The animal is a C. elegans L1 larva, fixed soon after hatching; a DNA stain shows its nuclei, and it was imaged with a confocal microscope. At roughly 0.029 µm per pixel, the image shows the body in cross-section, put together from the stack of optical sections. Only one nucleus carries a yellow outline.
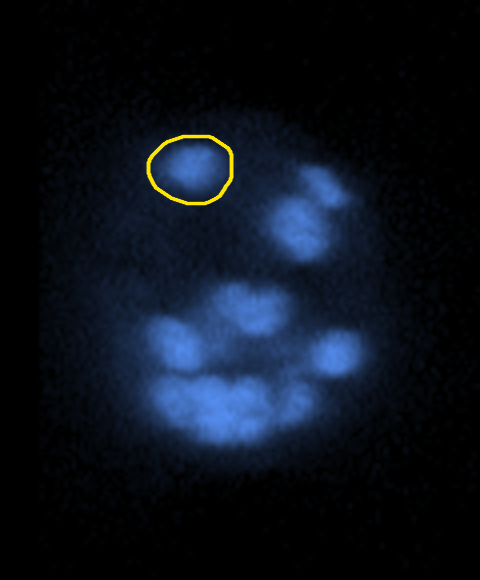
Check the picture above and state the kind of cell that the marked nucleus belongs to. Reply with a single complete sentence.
What is marked is the nucleus of a body wall muscle cell.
